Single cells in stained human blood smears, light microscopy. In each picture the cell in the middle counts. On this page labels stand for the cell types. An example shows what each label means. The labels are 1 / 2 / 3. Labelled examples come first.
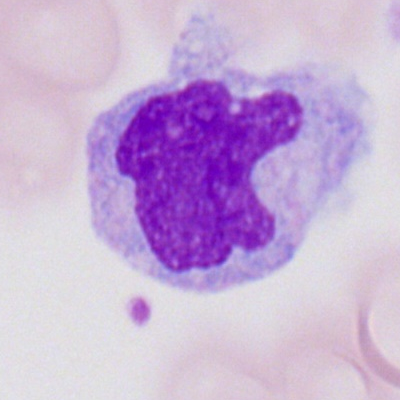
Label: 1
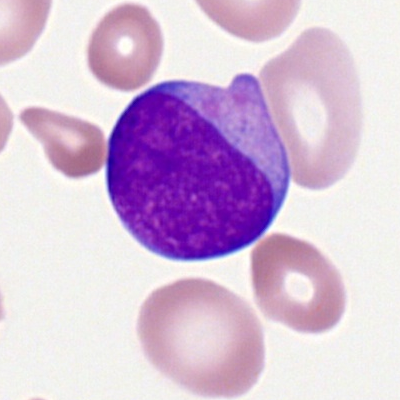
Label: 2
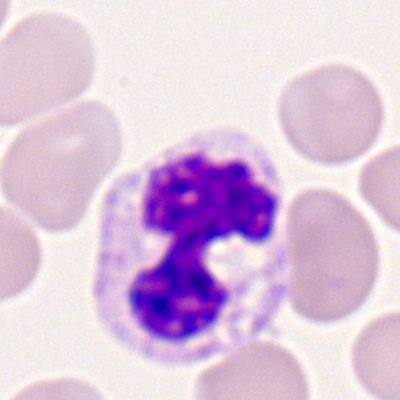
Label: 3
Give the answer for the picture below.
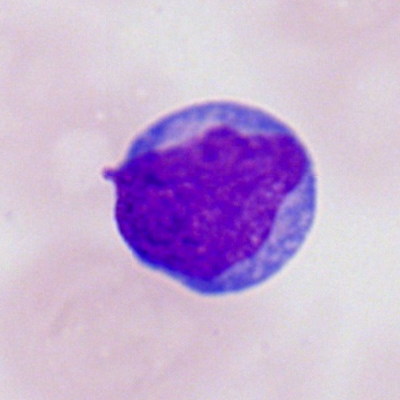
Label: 2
